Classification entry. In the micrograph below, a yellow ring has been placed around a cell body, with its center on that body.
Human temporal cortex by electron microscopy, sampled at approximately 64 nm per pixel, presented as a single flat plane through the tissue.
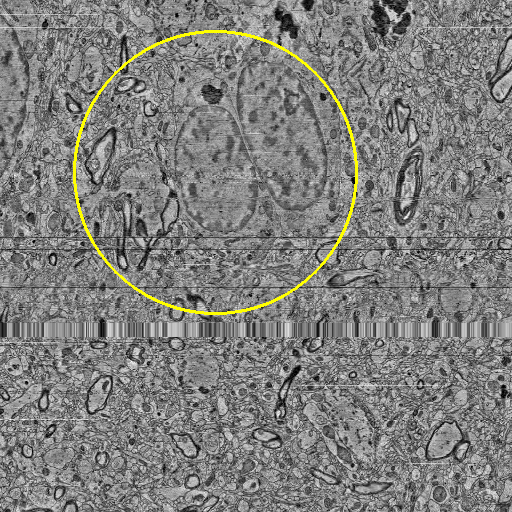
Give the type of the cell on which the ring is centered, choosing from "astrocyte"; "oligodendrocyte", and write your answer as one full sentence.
The cell body at the center of the yellow ring belongs to an oligodendrocyte.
